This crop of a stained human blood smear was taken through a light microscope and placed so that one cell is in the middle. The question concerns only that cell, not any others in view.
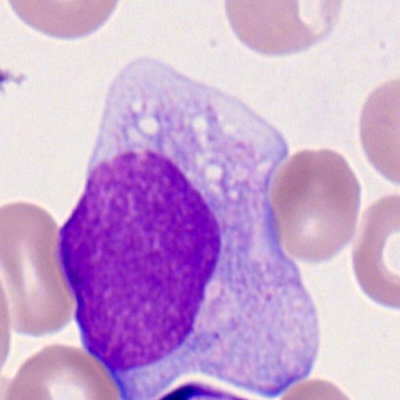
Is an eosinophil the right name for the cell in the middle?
no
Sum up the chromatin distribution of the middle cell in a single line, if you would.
The chromatin here is fine and lacks any coarse clumps.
